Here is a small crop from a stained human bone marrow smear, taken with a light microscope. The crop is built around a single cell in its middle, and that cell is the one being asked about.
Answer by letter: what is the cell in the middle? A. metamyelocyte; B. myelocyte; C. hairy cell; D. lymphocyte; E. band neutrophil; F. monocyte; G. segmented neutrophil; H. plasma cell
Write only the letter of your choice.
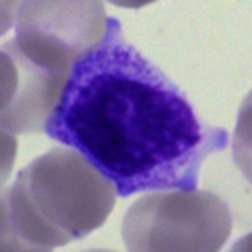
B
